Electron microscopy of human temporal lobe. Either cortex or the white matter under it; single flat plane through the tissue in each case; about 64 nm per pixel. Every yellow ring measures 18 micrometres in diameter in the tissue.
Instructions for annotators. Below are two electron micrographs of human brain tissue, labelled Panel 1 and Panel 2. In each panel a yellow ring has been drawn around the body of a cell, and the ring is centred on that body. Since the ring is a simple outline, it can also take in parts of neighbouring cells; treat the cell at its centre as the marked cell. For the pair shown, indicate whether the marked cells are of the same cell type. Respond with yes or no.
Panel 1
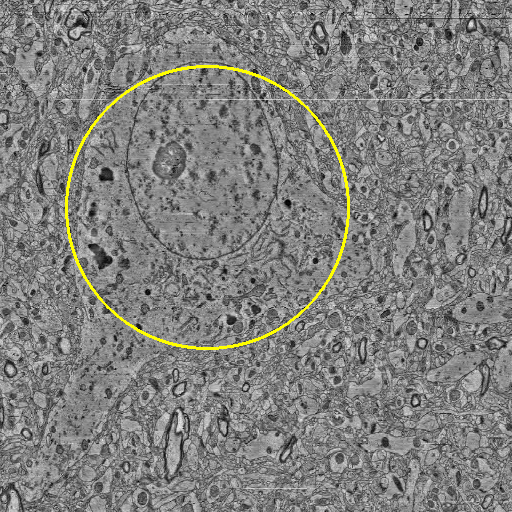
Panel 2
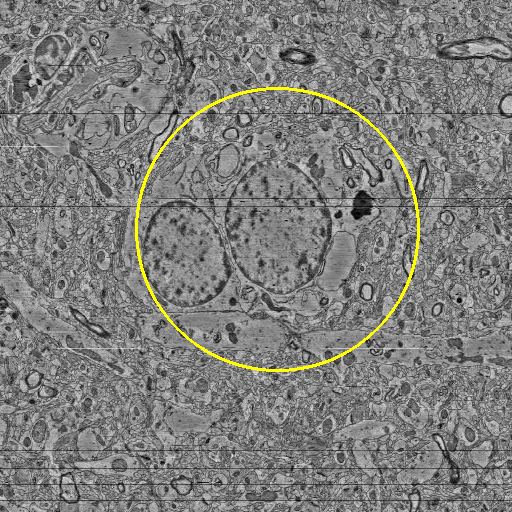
no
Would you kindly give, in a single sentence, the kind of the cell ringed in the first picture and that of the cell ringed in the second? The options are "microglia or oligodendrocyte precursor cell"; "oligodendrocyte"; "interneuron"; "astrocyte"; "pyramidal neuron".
The second cell is an astrocyte, and the first cell is a pyramidal neuron.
